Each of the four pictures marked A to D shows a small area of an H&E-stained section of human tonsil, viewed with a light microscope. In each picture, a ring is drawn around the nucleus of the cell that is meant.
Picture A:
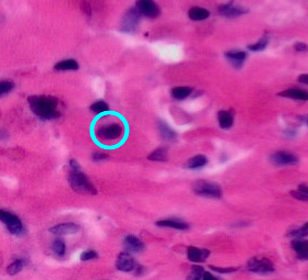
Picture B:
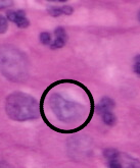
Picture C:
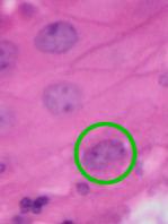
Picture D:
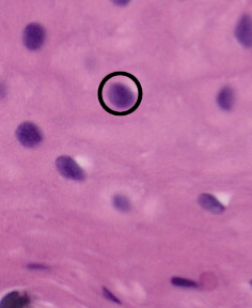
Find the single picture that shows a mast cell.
A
